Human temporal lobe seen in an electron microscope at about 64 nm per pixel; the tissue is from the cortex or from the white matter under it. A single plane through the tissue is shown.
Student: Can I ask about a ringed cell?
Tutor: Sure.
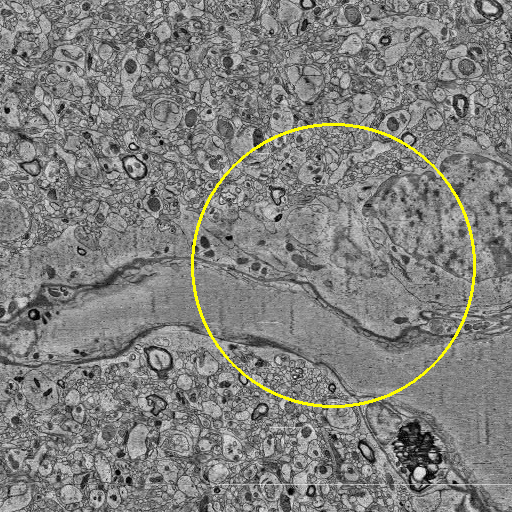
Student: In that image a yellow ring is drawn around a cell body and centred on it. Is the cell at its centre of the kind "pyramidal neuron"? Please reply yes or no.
No, the cell is of another kind.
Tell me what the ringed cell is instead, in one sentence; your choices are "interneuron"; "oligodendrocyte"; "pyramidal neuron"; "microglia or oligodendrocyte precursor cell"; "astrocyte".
The cell circled by the yellow ring is a microglial cell or oligodendrocyte precursor cell.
